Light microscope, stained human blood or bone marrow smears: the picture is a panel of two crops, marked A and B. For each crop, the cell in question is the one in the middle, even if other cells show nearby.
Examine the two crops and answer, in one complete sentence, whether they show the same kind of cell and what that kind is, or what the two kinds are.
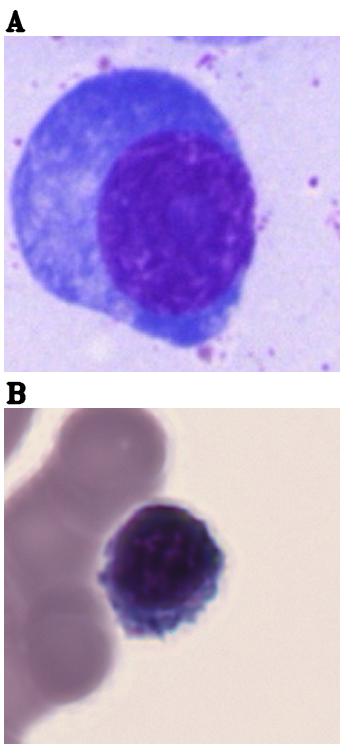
Yes, as for both crops, the cells shown are plasma cells.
